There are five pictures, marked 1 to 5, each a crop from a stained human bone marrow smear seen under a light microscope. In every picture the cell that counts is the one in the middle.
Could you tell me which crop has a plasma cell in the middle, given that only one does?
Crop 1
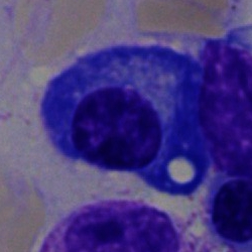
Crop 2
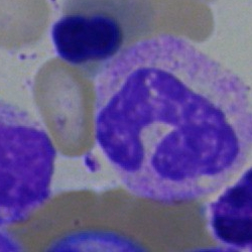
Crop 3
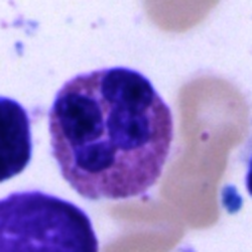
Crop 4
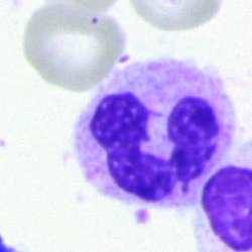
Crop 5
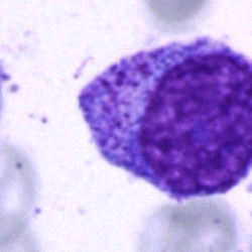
1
